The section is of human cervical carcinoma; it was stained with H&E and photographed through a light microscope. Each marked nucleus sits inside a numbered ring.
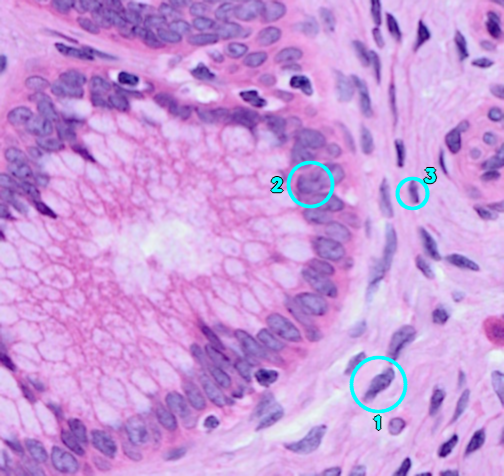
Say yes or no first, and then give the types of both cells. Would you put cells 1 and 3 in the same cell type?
Yes, both are fibroblasts.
